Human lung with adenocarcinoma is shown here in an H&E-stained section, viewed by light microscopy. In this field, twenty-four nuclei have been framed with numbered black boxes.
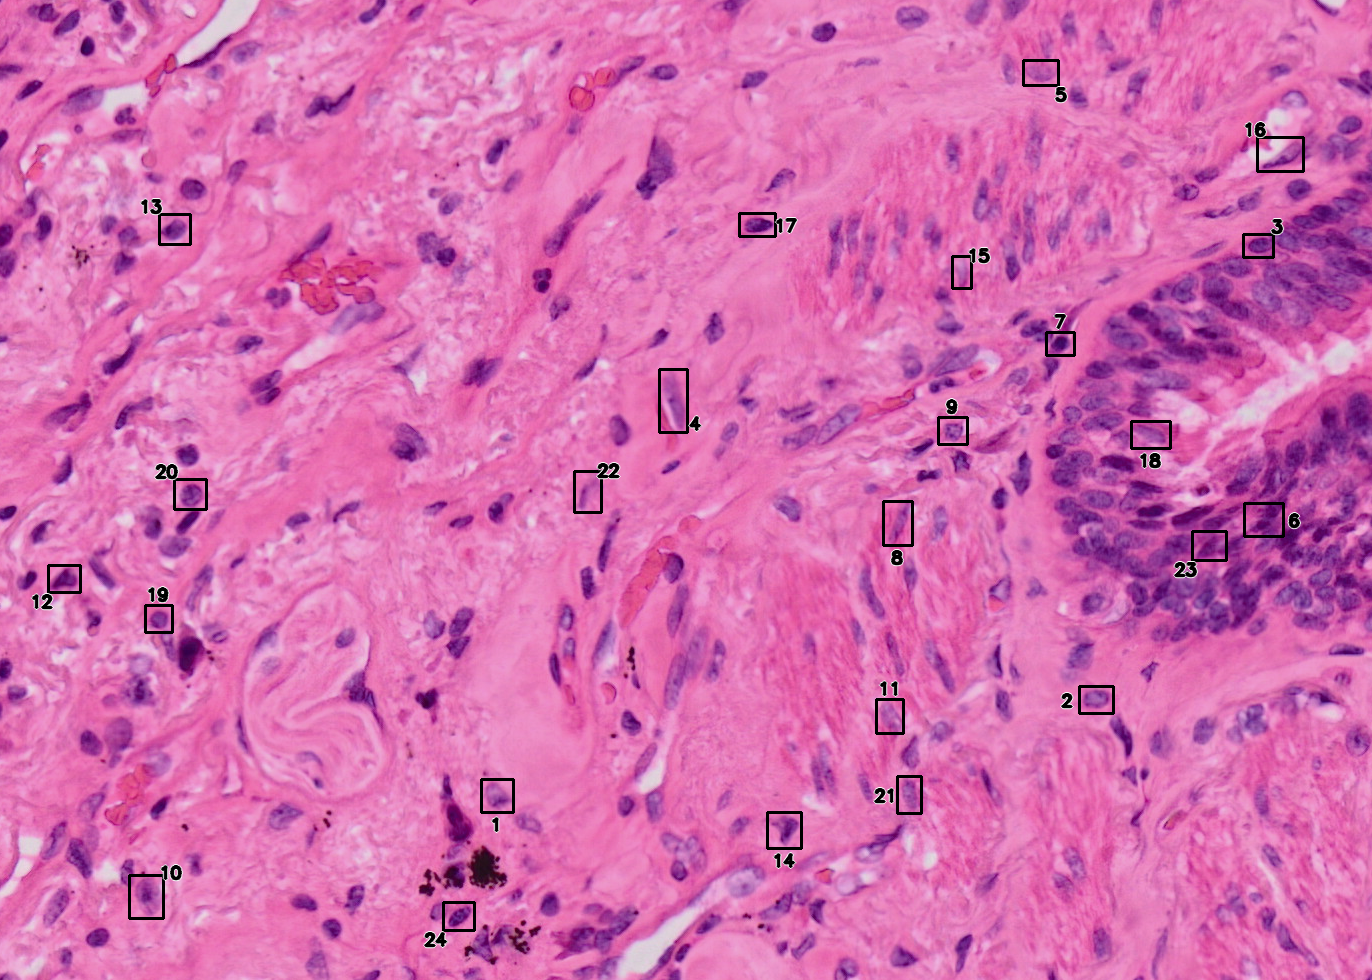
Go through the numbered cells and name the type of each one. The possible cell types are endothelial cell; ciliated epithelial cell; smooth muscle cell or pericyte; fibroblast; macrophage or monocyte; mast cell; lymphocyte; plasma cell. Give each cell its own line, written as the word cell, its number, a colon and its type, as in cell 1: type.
cell 1: fibroblast
cell 2: mast cell
cell 3: ciliated epithelial cell
cell 4: endothelial cell
cell 5: smooth muscle cell or pericyte
cell 6: ciliated epithelial cell
cell 7: lymphocyte
cell 8: smooth muscle cell or pericyte
cell 9: mast cell
cell 10: fibroblast
cell 11: smooth muscle cell or pericyte
cell 12: plasma cell
cell 13: lymphocyte
cell 14: fibroblast
cell 15: smooth muscle cell or pericyte
cell 16: endothelial cell
cell 17: mast cell
cell 18: ciliated epithelial cell
cell 19: mast cell
cell 20: mast cell
cell 21: smooth muscle cell or pericyte
cell 22: fibroblast
cell 23: ciliated epithelial cell
cell 24: mast cell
